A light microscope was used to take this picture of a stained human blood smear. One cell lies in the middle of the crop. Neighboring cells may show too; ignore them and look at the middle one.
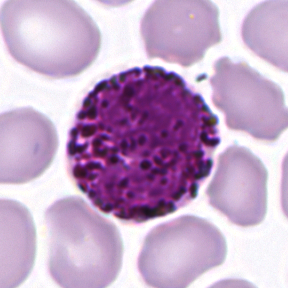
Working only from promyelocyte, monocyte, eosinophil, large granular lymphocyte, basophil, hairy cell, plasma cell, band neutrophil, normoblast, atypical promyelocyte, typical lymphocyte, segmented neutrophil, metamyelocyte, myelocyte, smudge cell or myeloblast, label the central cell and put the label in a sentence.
The cell at the heart of this crop is a basophil.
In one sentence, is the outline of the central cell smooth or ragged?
Nothing juts out from the margin, which is smooth throughout.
